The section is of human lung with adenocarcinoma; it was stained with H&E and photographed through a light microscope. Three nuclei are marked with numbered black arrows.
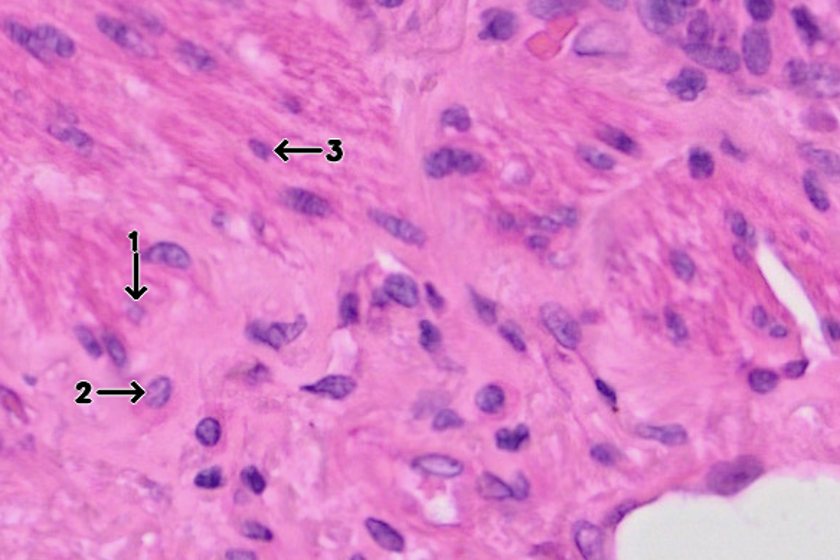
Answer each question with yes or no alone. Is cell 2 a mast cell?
yes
